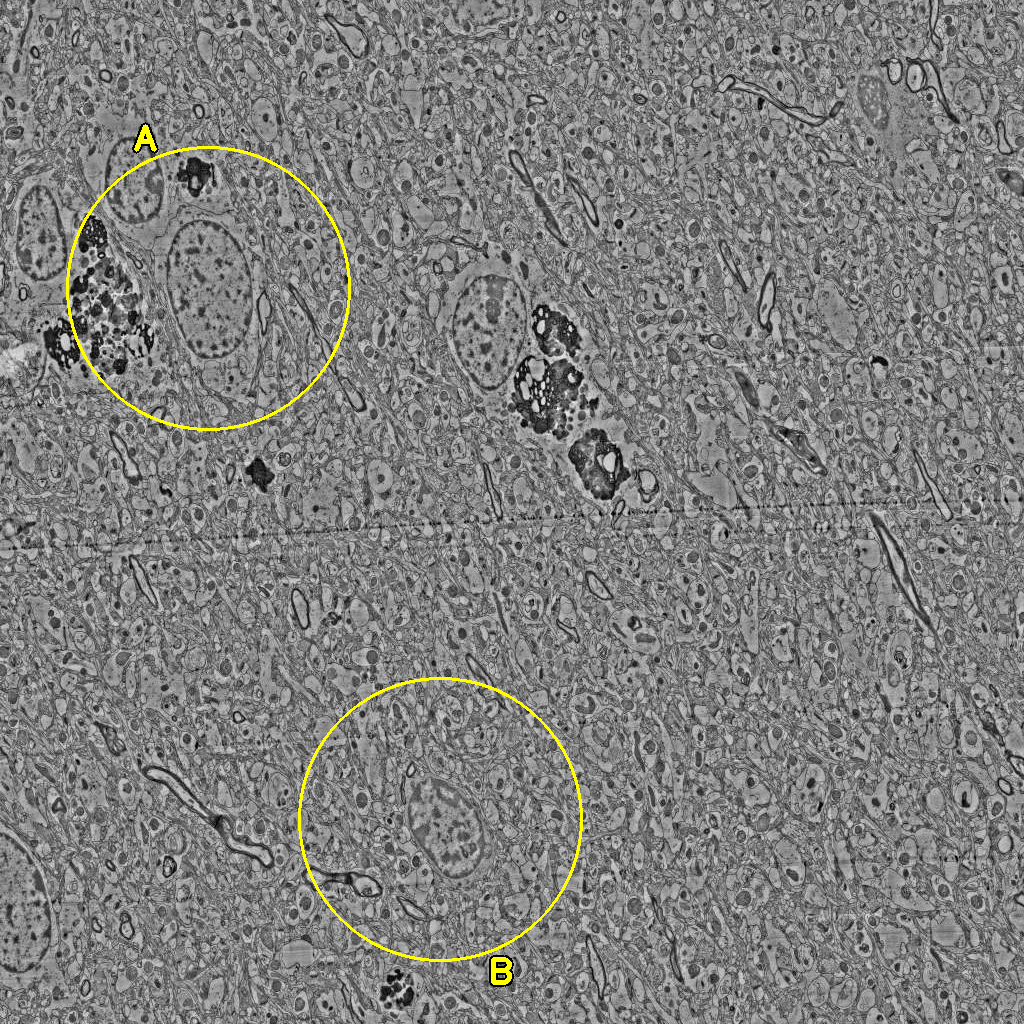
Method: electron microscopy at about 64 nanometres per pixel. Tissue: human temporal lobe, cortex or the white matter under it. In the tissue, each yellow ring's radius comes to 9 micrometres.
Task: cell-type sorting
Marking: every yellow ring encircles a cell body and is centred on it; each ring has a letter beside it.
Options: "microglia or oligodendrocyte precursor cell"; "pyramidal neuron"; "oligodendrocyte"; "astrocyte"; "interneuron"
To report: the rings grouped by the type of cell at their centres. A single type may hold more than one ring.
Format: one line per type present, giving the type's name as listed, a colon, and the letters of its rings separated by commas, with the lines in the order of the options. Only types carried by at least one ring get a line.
oligodendrocyte: B
astrocyte: A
